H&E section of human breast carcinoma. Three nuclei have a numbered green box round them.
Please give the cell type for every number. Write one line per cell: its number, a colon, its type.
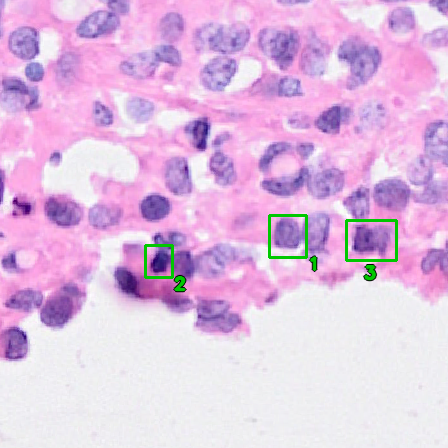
1: carcinoma cell
2: lymphocyte
3: carcinoma cell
